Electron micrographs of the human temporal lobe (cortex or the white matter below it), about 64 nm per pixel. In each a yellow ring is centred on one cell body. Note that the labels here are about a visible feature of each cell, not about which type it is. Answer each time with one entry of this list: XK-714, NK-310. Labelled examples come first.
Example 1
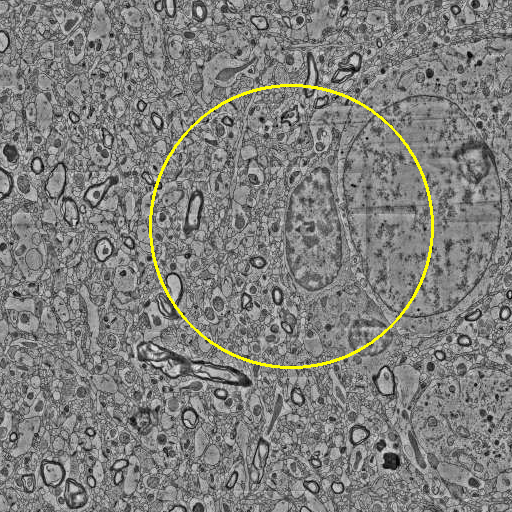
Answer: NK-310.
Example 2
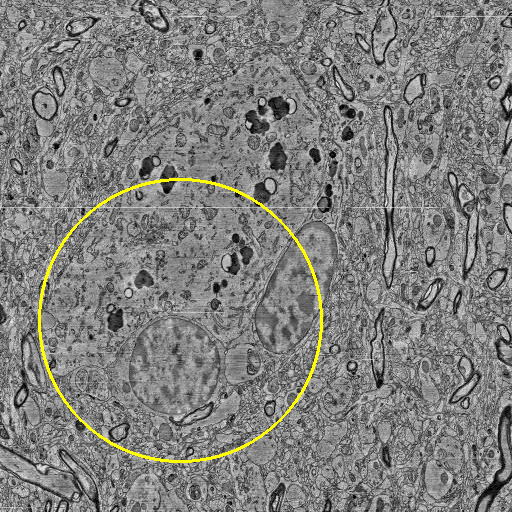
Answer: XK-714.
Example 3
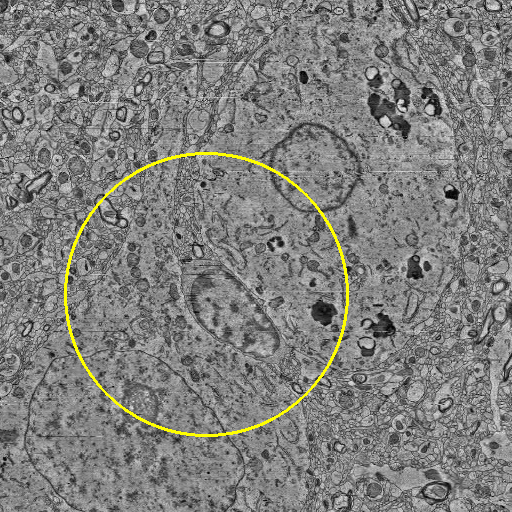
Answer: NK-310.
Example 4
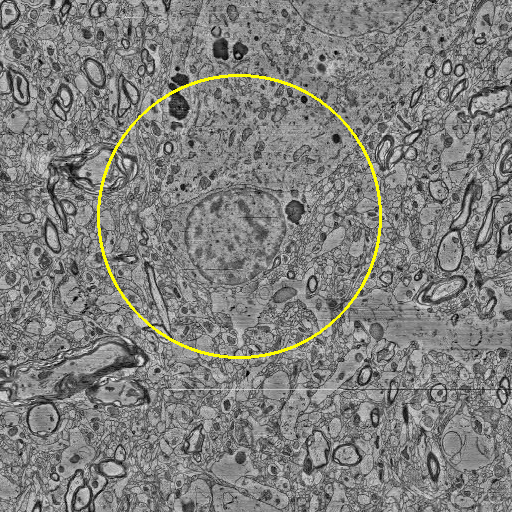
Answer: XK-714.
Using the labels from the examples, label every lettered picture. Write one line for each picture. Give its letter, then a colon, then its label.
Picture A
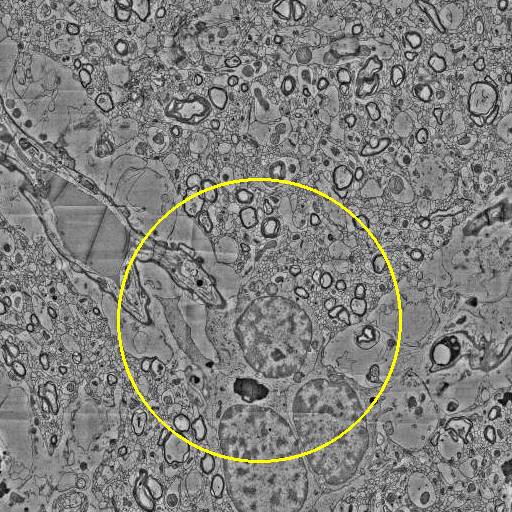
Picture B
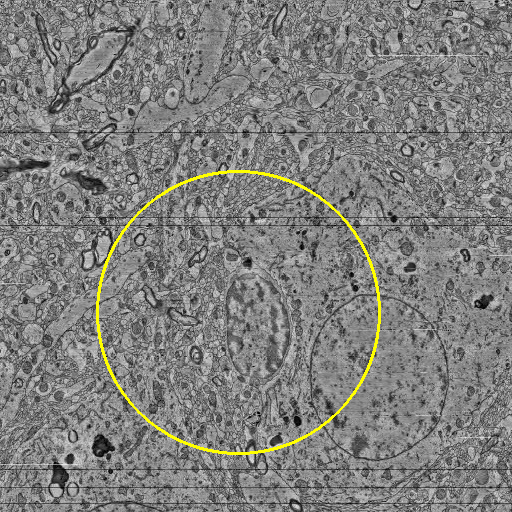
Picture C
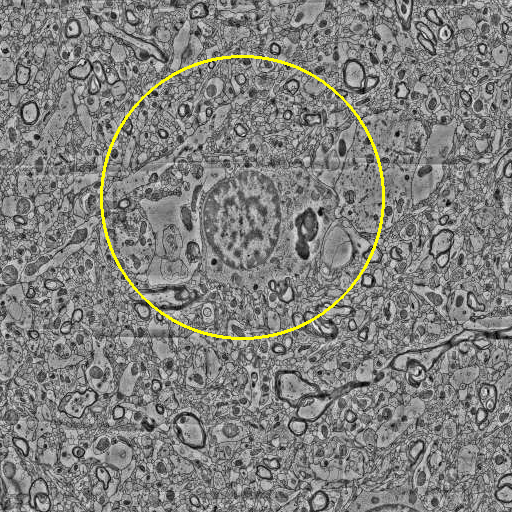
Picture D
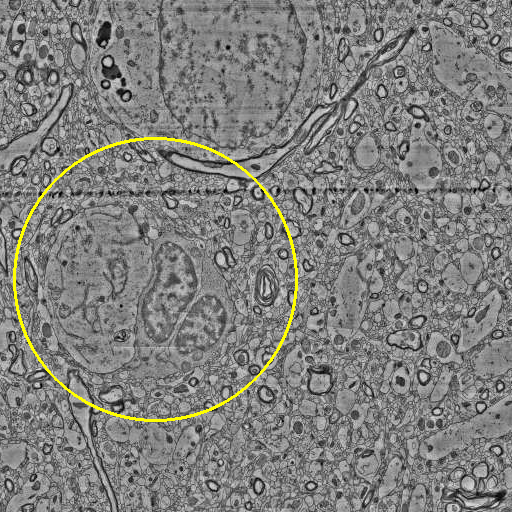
A: XK-714.
B: NK-310.
C: XK-714.
D: NK-310.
